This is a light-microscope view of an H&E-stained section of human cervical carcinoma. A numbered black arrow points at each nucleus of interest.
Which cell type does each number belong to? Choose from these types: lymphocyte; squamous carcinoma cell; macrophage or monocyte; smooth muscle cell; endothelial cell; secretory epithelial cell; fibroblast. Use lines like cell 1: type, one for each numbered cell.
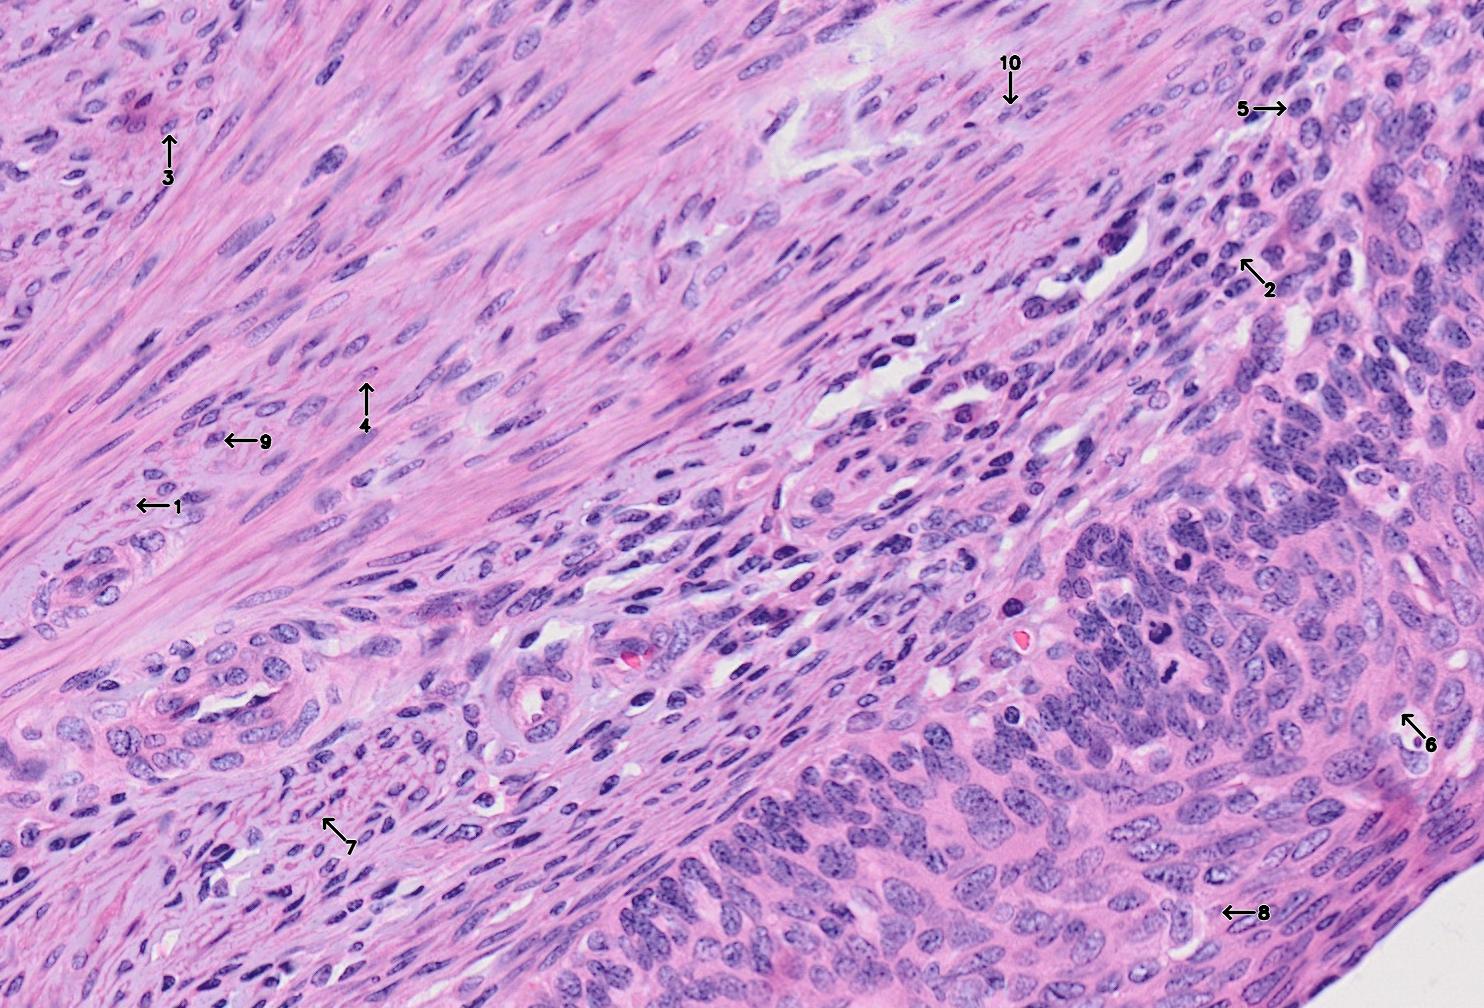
cell 1: smooth muscle cell
cell 2: lymphocyte
cell 3: smooth muscle cell
cell 4: smooth muscle cell
cell 5: lymphocyte
cell 6: squamous carcinoma cell
cell 7: smooth muscle cell
cell 8: squamous carcinoma cell
cell 9: smooth muscle cell
cell 10: smooth muscle cell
